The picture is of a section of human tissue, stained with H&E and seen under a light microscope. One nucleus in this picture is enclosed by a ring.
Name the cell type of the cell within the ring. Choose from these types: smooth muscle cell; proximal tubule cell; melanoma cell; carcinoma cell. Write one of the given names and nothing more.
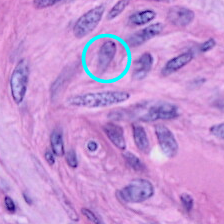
smooth muscle cell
